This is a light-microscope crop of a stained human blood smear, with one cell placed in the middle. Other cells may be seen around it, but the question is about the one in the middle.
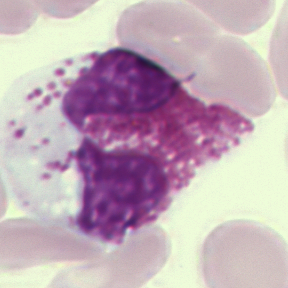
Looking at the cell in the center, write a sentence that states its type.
For this crop, the cell in the middle is an eosinophil.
